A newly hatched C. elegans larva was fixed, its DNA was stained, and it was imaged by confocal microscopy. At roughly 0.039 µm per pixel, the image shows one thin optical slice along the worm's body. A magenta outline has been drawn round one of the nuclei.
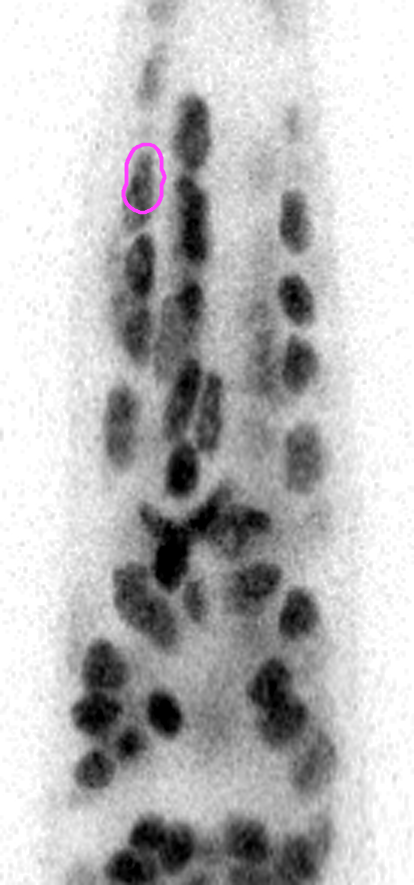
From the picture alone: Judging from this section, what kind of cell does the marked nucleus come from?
arcade cell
